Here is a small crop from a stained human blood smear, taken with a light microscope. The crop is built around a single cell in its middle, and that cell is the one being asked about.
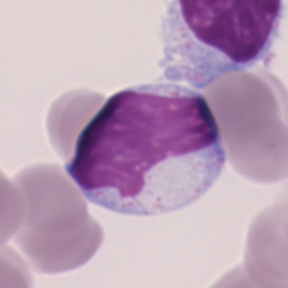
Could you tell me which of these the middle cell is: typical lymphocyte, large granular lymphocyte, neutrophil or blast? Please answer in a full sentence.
On this slide crop, the central cell is a large granular lymphocyte.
